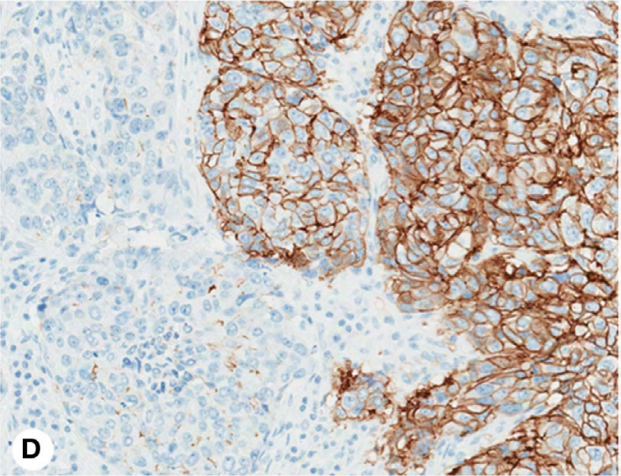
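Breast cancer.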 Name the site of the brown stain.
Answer: Membranous.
